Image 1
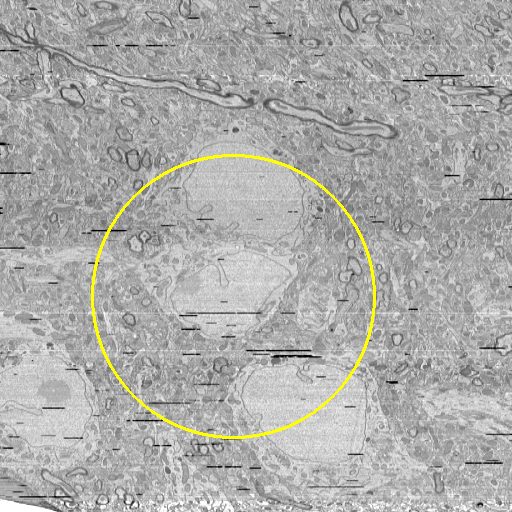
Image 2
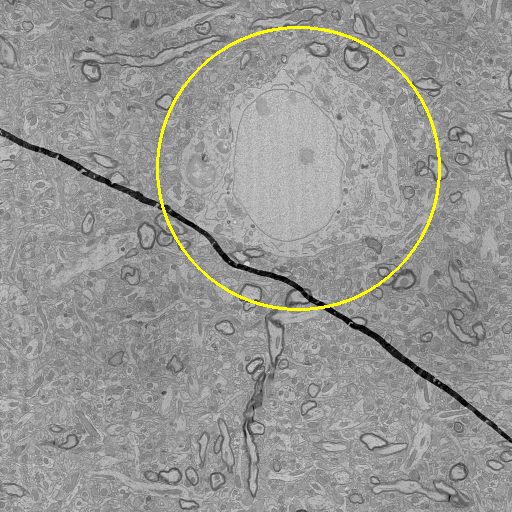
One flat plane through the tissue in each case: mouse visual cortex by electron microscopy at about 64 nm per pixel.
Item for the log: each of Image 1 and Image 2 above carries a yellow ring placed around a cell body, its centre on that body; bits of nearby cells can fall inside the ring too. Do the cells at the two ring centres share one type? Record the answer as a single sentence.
Yes, the two cells at the ring centres in Image 1 and Image 2 share one type.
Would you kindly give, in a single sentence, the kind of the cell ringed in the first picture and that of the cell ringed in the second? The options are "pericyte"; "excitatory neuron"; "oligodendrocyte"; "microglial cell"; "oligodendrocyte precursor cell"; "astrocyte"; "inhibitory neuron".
The ring centre holds an excitatory neuron in each of the two pictures.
